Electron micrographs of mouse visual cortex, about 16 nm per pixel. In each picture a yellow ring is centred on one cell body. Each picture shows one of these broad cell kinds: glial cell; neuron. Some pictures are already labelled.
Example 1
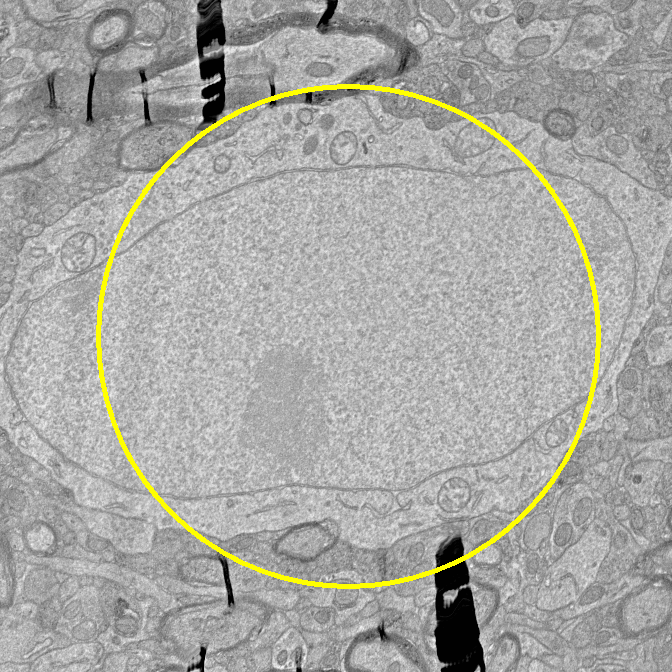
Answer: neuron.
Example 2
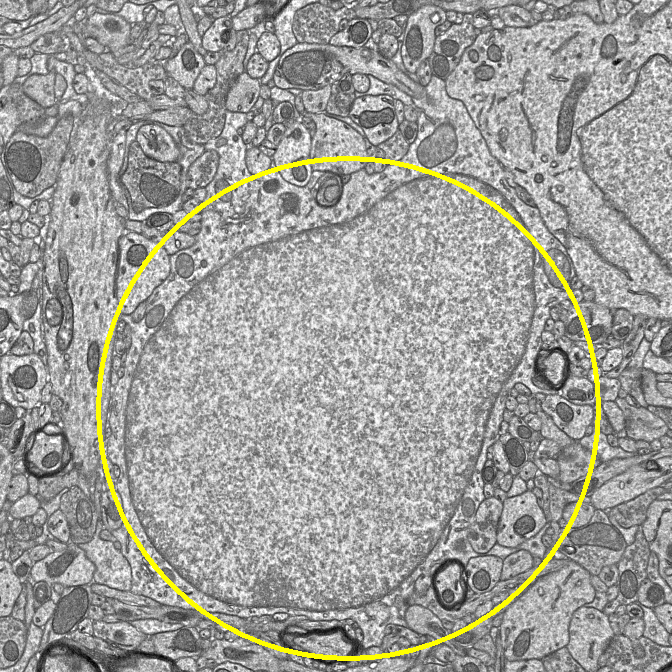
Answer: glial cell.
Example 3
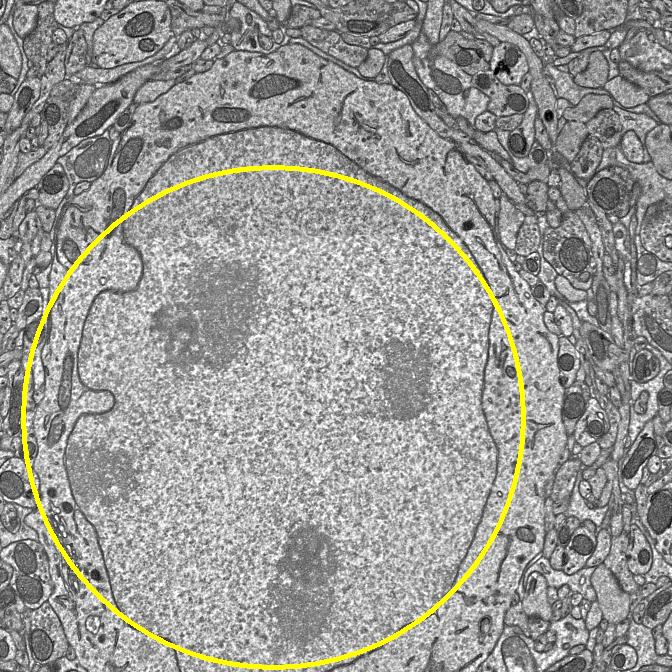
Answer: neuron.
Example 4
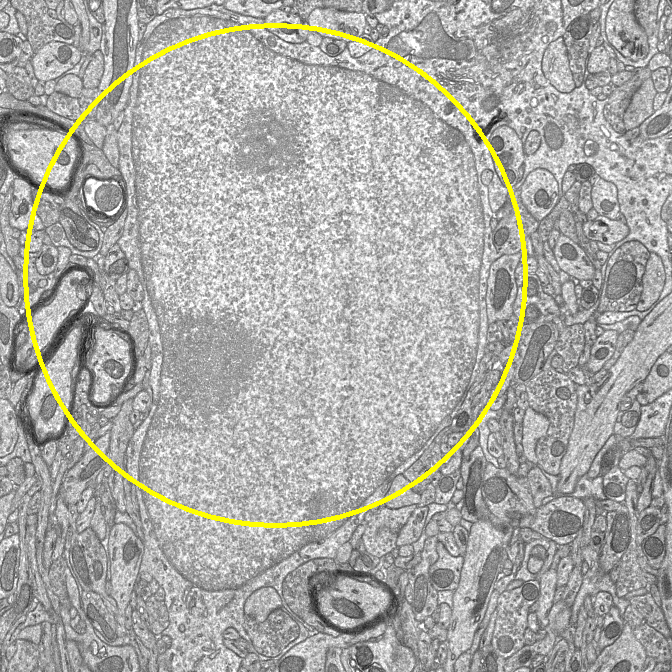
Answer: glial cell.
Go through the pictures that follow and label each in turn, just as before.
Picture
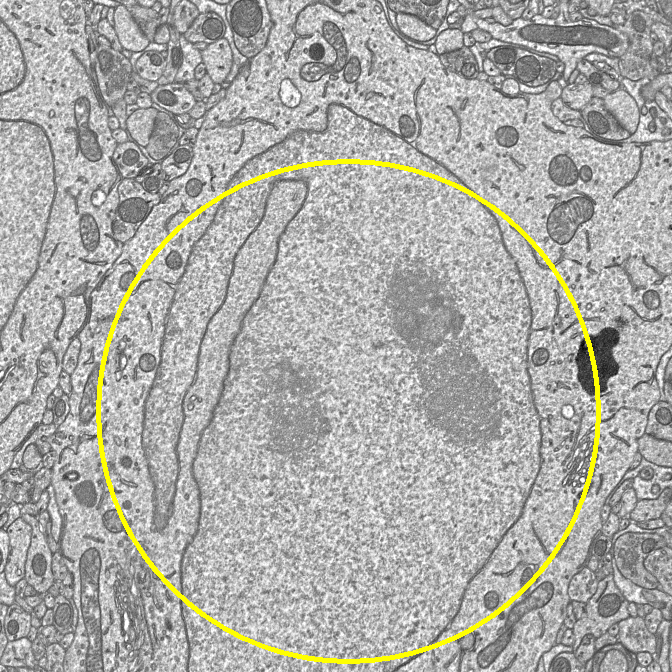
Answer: neuron.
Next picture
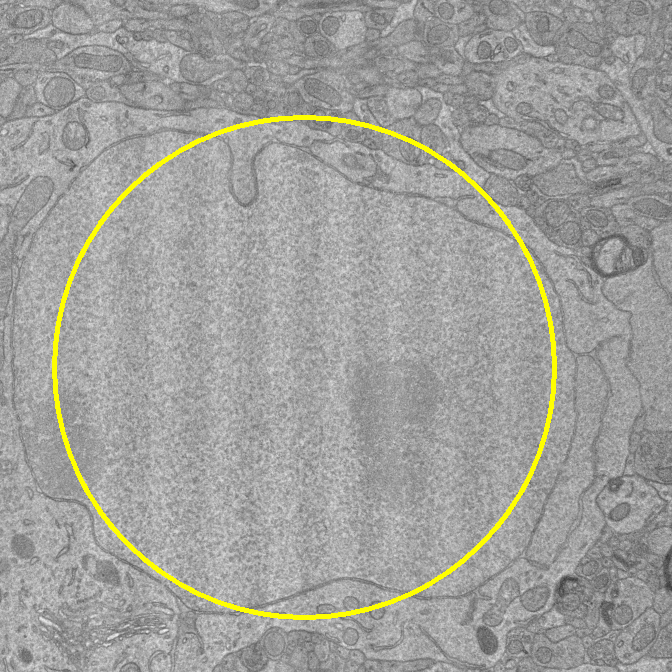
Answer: neuron.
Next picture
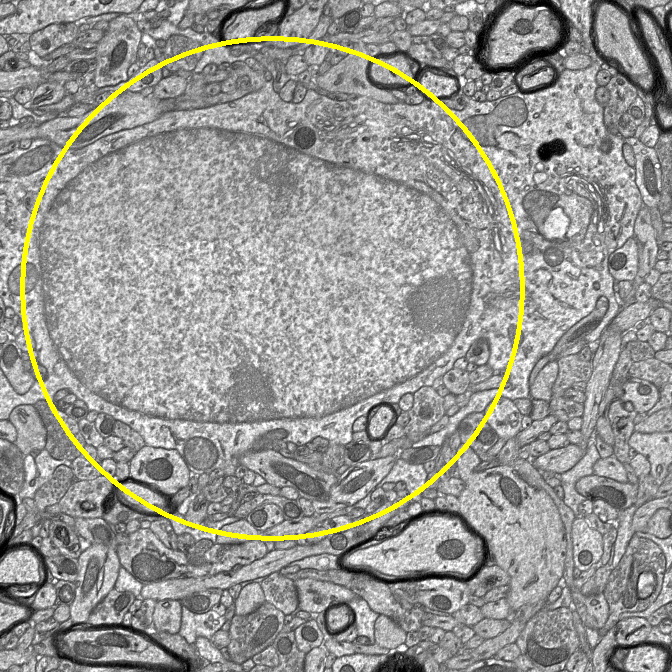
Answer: glial cell.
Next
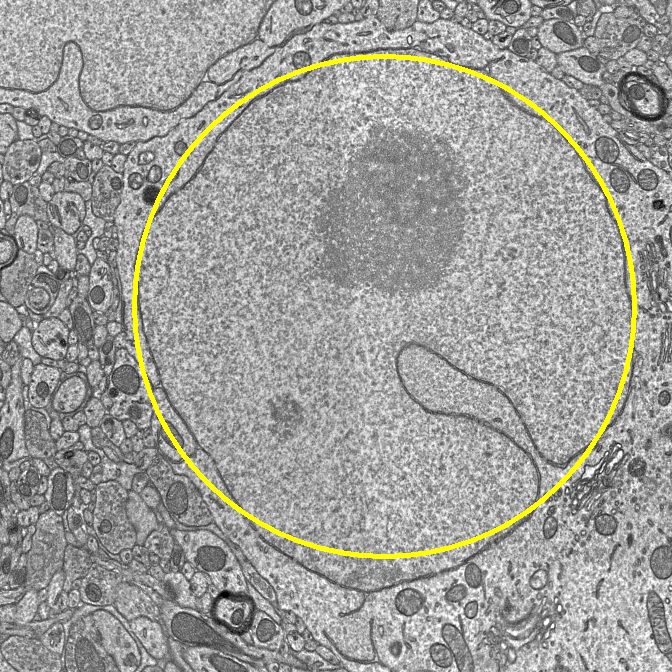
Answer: neuron.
